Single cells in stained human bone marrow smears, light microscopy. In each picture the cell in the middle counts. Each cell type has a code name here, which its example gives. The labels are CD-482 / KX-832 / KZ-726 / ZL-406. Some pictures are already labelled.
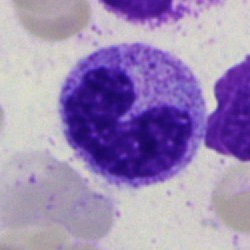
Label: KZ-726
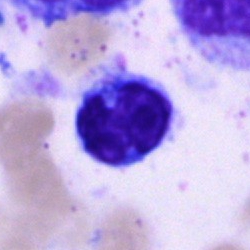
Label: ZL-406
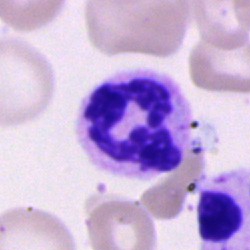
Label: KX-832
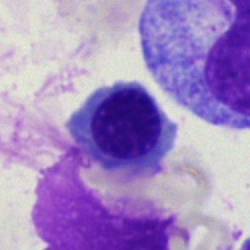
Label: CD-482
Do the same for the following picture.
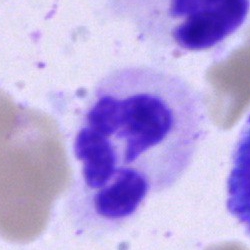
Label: KX-832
